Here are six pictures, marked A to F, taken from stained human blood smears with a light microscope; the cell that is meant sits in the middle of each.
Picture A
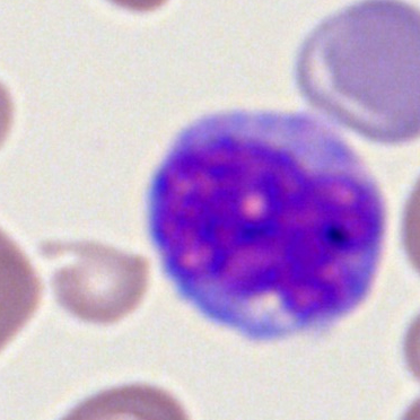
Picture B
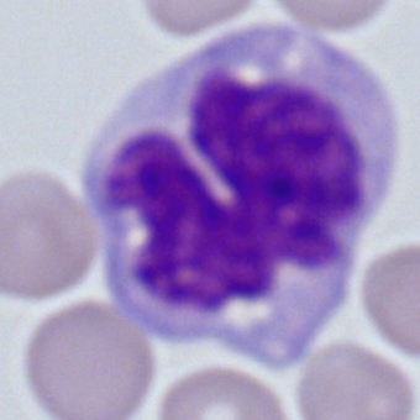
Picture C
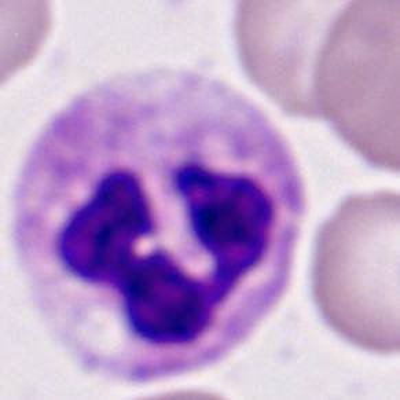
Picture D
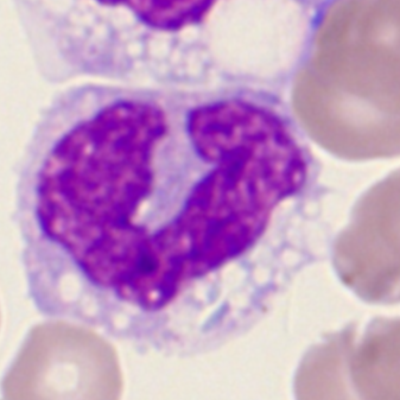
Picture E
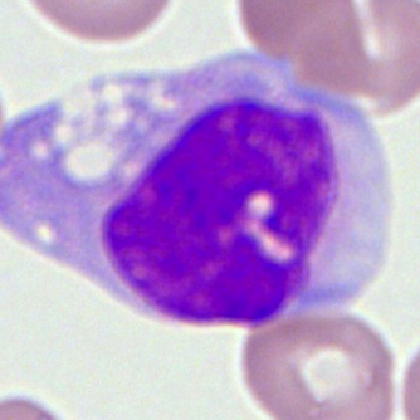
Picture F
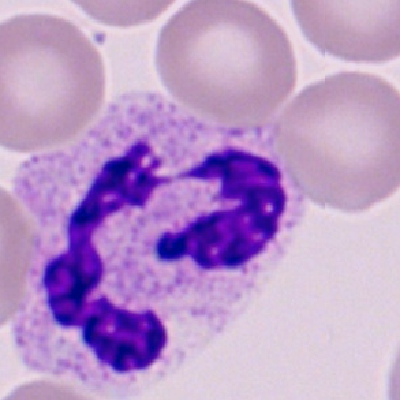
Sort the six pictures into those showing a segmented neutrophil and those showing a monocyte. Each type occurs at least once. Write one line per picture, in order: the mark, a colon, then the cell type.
A: monocyte
B: monocyte
C: segmented neutrophil
D: monocyte
E: monocyte
F: segmented neutrophil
